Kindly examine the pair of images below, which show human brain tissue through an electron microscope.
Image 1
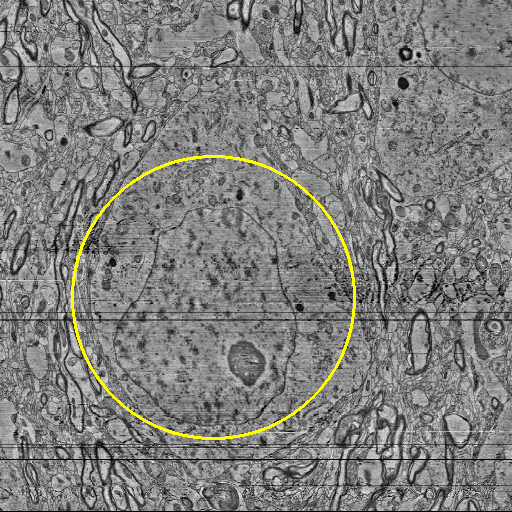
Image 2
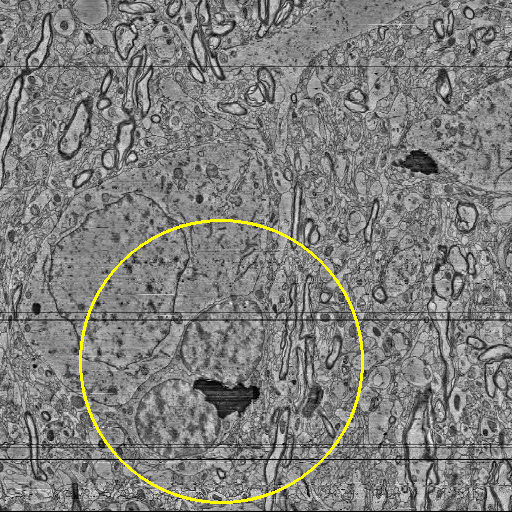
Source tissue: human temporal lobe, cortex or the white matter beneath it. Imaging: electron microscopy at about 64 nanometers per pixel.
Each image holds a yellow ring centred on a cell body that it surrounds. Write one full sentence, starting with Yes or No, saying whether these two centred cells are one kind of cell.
No, the cells at the centres of the yellow rings belong to two kinds of cell.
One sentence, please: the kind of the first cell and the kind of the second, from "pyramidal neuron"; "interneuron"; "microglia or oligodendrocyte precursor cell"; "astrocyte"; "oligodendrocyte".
The ring in the first picture surrounds a pyramidal neuron, and the ring in the second surrounds an oligodendrocyte.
